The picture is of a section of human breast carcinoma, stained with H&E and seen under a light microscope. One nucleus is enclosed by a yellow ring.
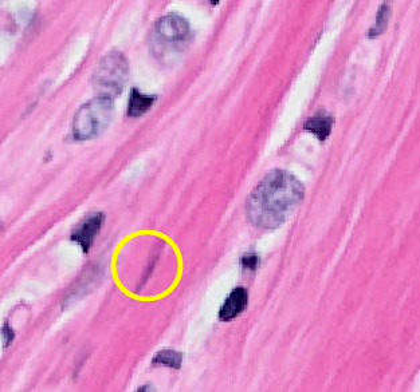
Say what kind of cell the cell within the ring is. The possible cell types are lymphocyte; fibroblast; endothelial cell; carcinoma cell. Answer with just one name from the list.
fibroblast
